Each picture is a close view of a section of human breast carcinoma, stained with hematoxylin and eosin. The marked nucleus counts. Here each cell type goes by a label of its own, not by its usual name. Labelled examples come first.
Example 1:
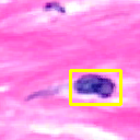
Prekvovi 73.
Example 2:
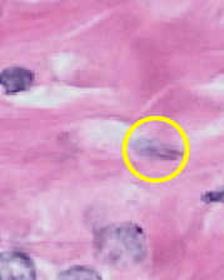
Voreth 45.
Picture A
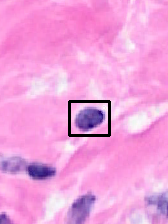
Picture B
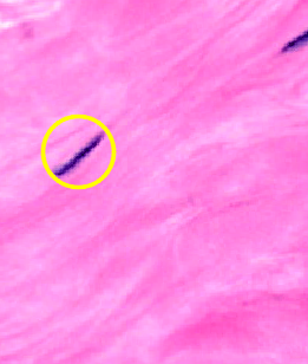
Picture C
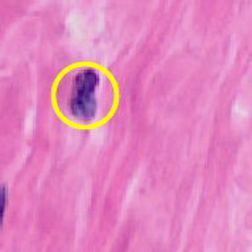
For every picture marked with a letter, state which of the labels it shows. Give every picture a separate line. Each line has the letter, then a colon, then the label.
A: Prekvovi 73.
B: Voreth 45.
C: Prekvovi 73.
